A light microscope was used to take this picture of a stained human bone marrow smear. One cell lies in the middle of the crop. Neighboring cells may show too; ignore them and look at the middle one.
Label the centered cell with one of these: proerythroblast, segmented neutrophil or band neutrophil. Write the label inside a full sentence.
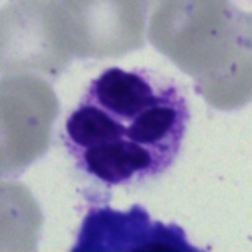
The central cell, amid any neighbouring cells, is a segmented neutrophil.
